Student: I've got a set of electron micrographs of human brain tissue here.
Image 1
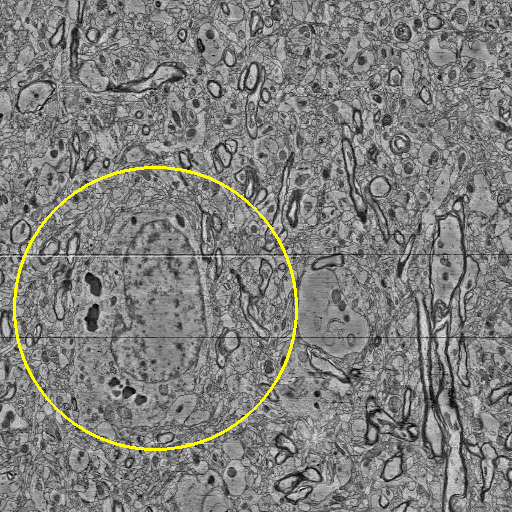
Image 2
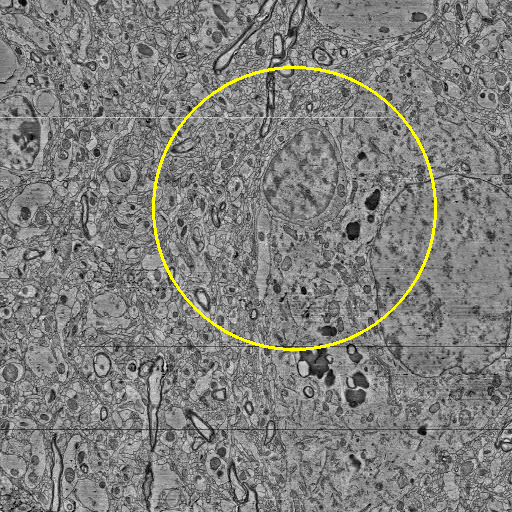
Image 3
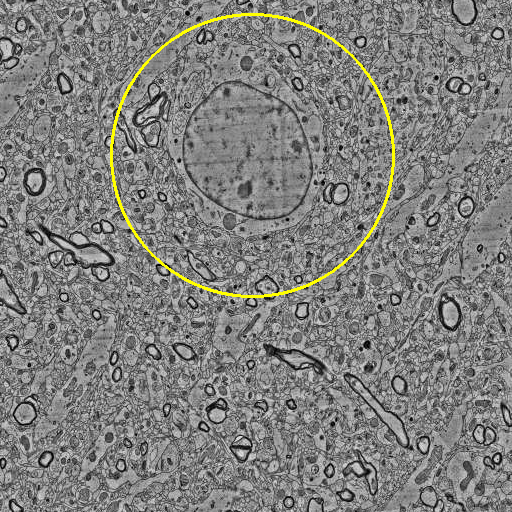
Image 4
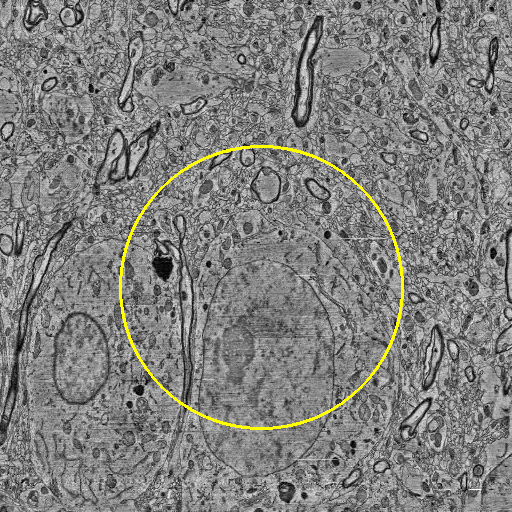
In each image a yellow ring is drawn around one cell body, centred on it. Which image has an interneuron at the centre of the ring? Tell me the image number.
1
